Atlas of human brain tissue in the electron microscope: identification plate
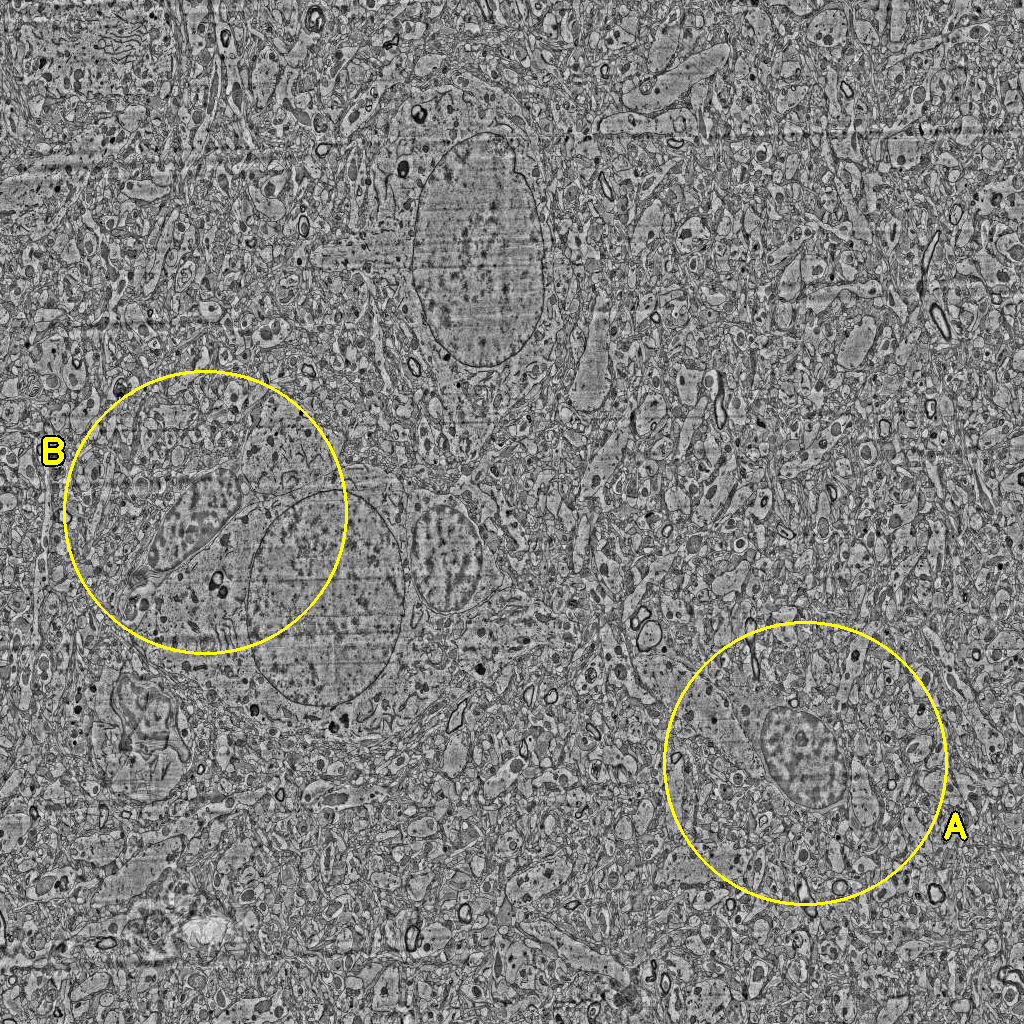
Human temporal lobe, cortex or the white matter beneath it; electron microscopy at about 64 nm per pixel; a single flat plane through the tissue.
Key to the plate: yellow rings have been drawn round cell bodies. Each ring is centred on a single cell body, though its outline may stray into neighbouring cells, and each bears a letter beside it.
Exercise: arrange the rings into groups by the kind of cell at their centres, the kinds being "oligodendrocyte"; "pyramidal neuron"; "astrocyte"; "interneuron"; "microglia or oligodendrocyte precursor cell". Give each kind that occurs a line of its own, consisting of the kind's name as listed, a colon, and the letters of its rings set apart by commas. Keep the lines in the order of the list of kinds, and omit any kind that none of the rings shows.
oligodendrocyte: A
microglia or oligodendrocyte precursor cell: B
